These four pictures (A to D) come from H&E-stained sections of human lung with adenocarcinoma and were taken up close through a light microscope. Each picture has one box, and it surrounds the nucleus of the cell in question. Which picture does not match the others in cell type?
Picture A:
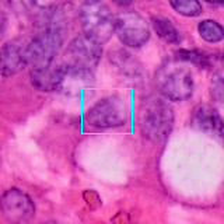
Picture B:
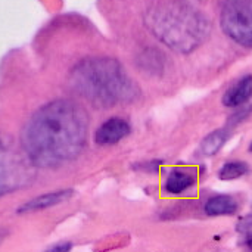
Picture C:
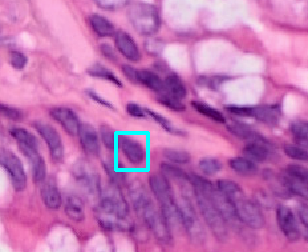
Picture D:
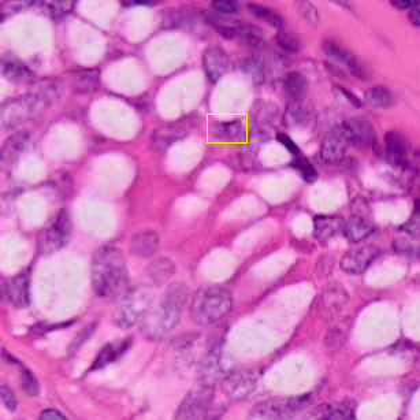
B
